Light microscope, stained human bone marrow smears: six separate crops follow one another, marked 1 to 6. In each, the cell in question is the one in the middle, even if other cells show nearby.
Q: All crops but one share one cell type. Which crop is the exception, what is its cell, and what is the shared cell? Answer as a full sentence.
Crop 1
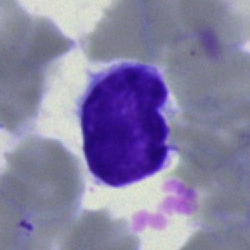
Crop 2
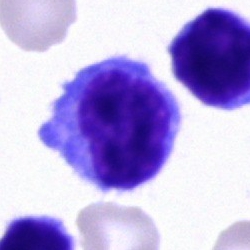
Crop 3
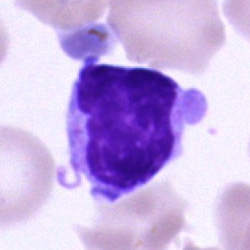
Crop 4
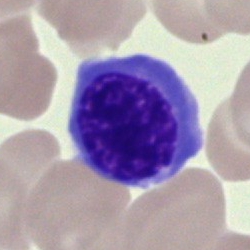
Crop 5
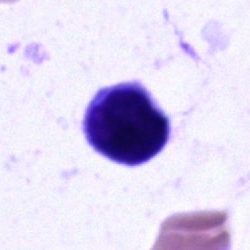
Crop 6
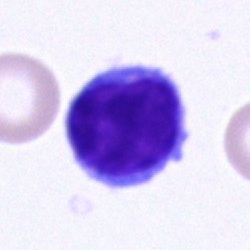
All the crops show lymphocytes, barring crop 4, which is an erythroblast.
